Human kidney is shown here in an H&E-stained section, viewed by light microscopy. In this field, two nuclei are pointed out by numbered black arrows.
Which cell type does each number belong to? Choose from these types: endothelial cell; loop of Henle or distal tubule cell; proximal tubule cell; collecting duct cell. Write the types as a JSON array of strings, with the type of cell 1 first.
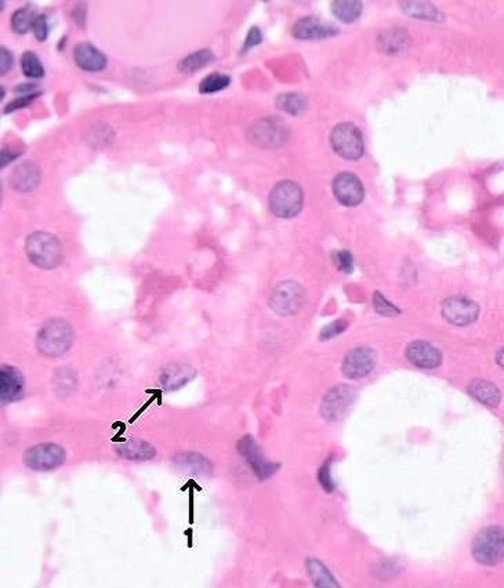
["loop of Henle or distal tubule cell", "proximal tubule cell"]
